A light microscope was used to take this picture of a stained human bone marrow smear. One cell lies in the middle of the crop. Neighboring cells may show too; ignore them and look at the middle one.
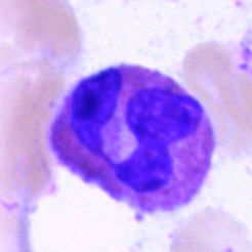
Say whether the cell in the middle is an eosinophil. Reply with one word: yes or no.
yes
